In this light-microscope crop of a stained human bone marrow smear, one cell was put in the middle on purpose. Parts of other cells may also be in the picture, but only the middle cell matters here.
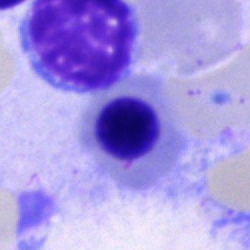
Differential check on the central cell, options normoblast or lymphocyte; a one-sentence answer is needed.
The cell at the central position in this crop is a normoblast.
